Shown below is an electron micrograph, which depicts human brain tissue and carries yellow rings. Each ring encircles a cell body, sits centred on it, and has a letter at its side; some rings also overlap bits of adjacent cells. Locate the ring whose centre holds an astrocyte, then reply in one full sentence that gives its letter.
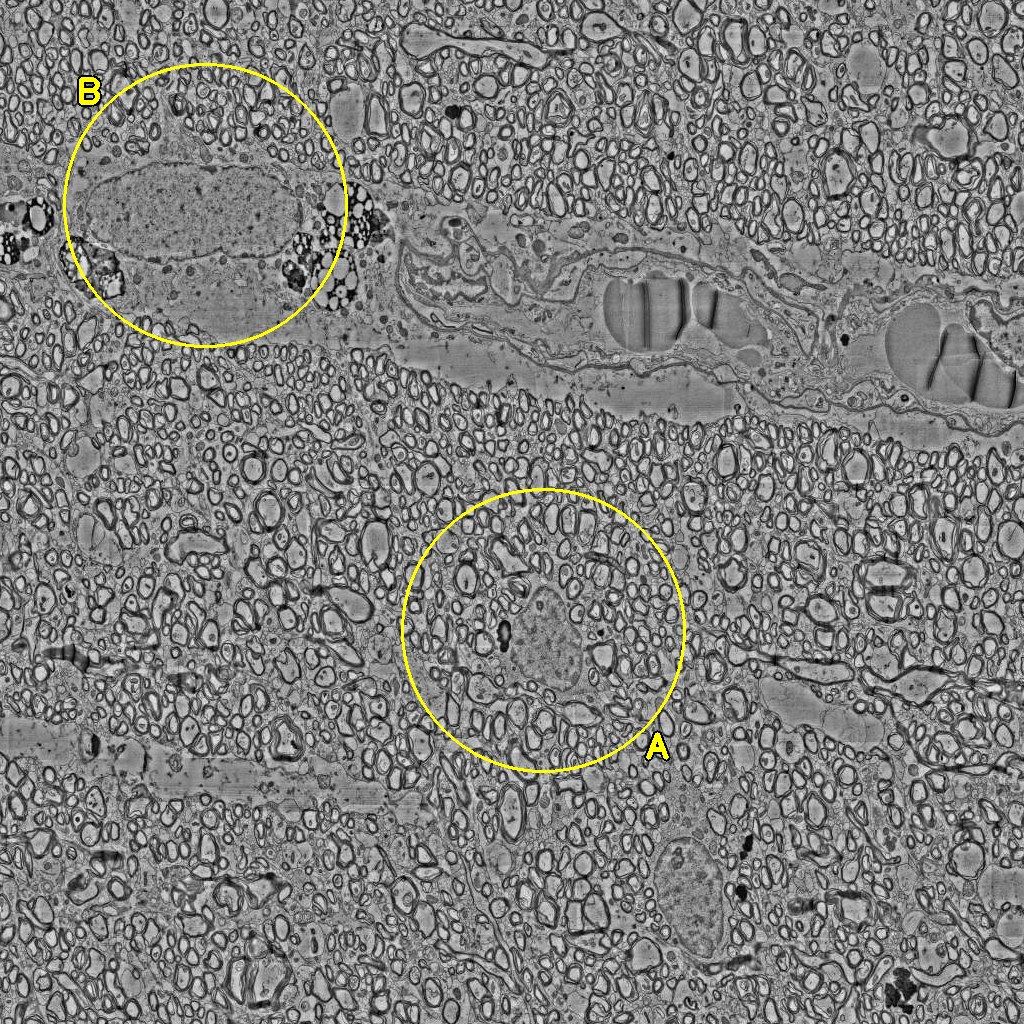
The ring centred on the cell asked for is the one marked B.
